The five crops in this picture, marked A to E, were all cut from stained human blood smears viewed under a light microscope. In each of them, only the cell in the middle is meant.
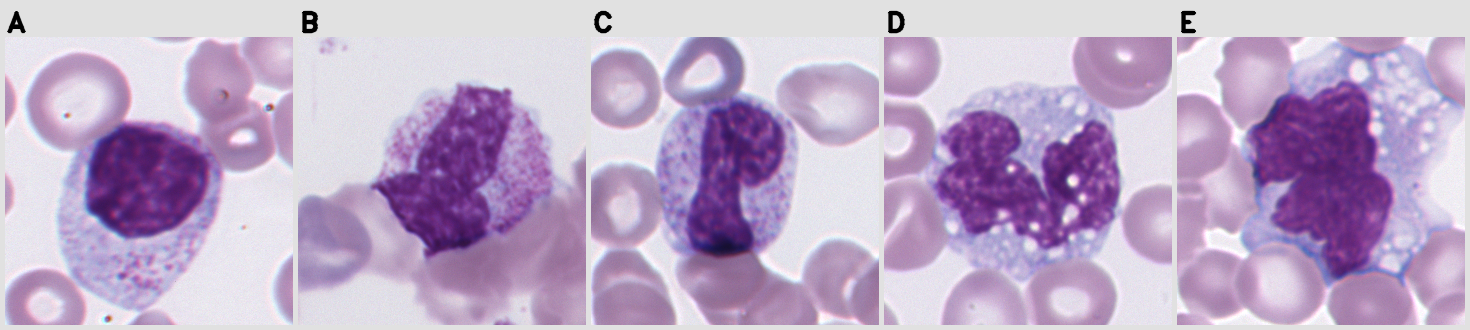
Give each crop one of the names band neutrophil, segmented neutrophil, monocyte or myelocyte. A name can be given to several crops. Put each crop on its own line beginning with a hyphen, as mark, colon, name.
- A: myelocyte
- B: band neutrophil
- C: band neutrophil
- D: monocyte
- E: monocyte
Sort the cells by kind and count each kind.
band neutrophil: 2
monocyte: 2
myelocyte: 1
